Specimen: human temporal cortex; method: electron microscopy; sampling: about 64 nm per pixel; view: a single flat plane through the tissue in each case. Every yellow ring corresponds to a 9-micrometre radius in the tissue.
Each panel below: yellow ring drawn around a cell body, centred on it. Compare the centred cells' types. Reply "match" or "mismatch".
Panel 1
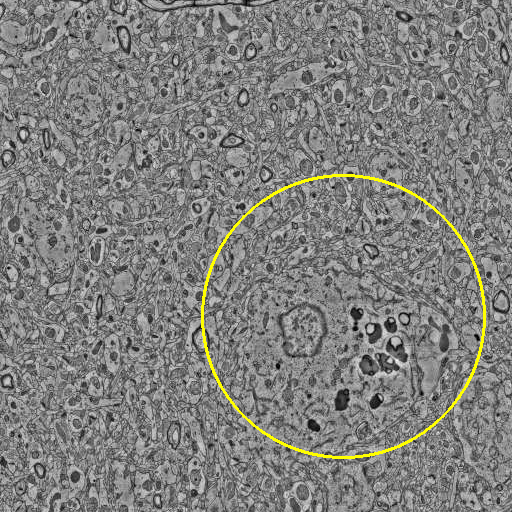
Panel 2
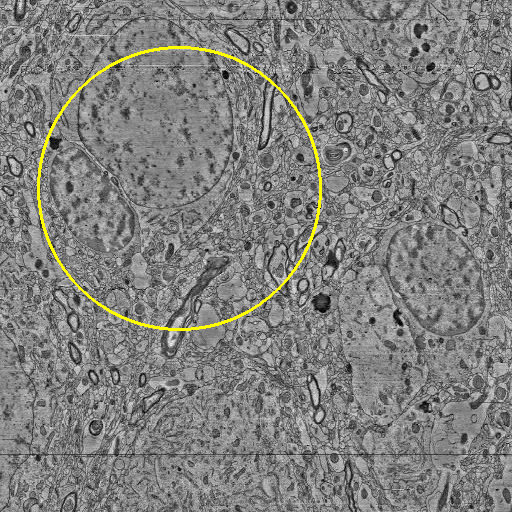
match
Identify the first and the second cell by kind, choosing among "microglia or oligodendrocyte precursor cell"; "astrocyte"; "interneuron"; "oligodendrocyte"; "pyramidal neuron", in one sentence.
Both cells are the same kind, each one being a pyramidal neuron.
